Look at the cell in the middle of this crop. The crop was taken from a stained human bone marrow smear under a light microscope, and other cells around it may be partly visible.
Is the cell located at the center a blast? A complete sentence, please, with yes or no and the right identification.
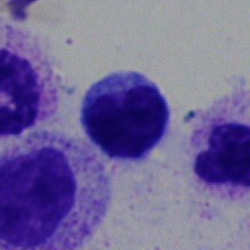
No, the central cell is not a blast; it is a lymphocyte.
